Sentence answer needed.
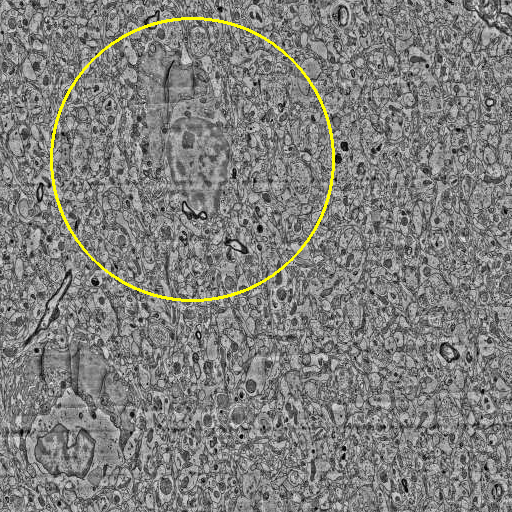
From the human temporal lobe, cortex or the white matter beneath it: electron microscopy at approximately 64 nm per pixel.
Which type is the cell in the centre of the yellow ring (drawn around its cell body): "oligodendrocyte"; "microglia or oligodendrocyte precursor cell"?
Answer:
In the centre of the yellow ring is an oligodendrocyte.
